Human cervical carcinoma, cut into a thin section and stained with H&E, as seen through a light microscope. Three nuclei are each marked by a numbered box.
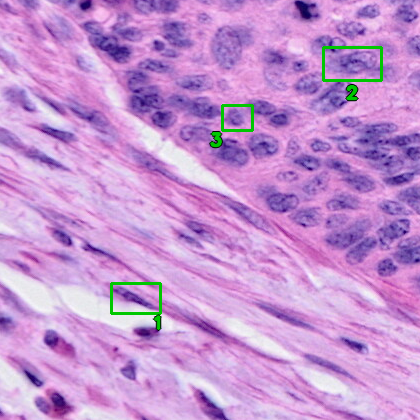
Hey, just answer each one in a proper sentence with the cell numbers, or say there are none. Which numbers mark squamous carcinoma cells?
Classified as squamous carcinoma cells are the cells numbered 2 and 3.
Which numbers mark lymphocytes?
It is not the case that any of the numbered cells are lymphocytes.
